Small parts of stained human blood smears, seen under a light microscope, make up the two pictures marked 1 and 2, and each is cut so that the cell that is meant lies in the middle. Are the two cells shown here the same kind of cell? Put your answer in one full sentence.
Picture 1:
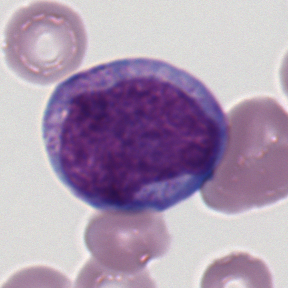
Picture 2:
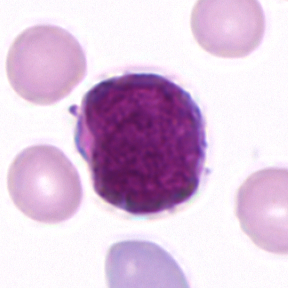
Yes, both are atypical promyelocytes.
